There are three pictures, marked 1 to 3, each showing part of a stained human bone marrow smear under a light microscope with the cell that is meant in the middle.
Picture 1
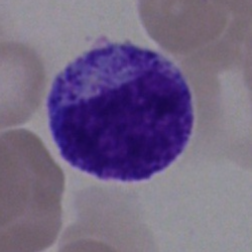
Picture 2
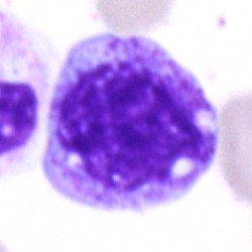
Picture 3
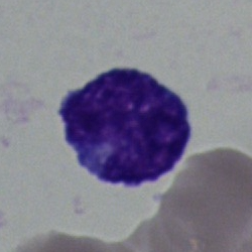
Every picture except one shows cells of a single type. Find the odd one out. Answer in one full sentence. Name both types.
The others show myelocytes, but picture 3 shows a blast.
